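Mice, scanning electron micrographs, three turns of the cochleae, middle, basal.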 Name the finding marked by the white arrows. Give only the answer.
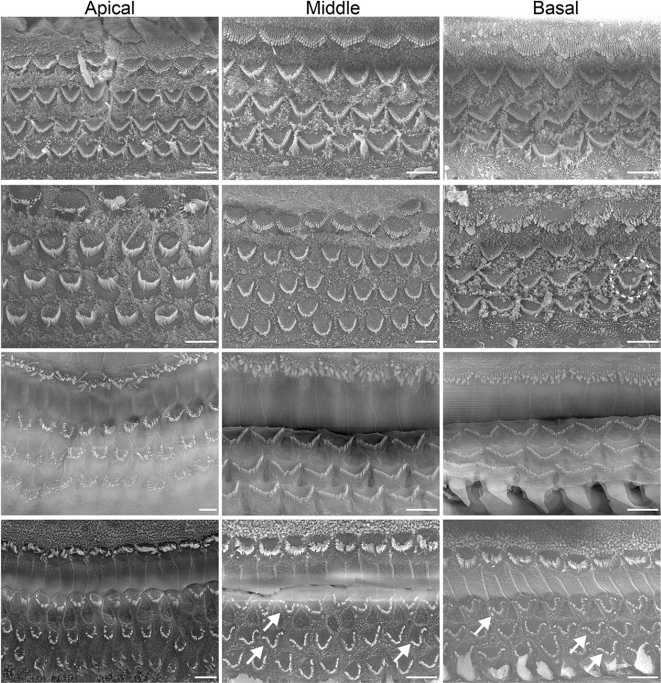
Omega shape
